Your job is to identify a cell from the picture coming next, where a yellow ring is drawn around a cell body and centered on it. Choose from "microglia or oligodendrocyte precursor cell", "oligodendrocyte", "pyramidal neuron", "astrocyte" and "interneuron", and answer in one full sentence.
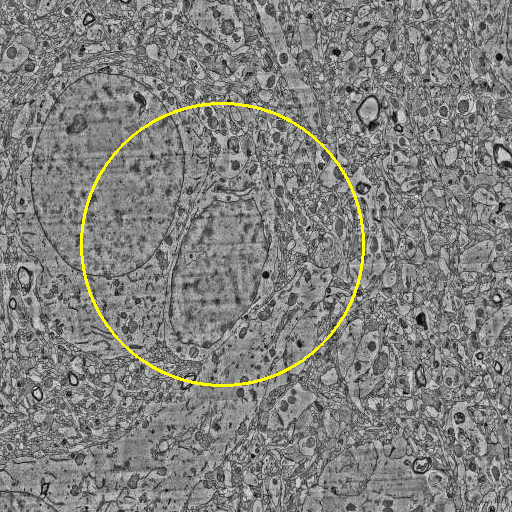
Centered in the yellow ring of the picture is the body of an interneuron.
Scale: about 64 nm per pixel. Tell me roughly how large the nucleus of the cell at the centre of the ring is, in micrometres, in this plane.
In this plane, roughly 10 by 6 micrometres.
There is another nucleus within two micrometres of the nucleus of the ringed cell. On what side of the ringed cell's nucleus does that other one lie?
The other one lies to the upper left of it.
